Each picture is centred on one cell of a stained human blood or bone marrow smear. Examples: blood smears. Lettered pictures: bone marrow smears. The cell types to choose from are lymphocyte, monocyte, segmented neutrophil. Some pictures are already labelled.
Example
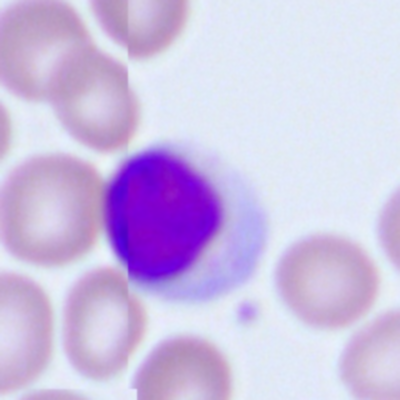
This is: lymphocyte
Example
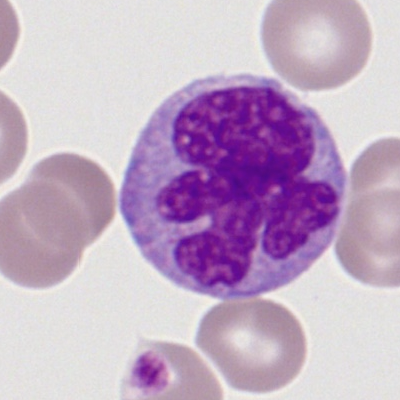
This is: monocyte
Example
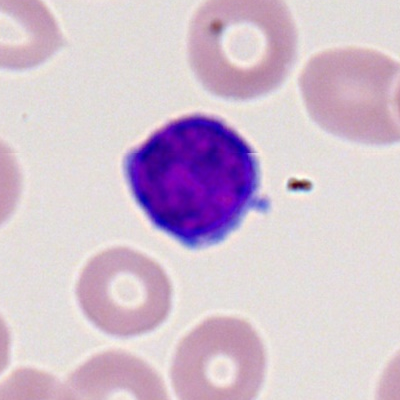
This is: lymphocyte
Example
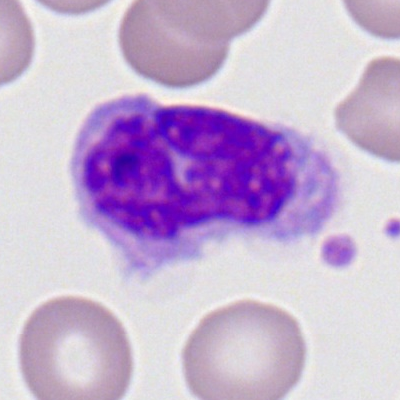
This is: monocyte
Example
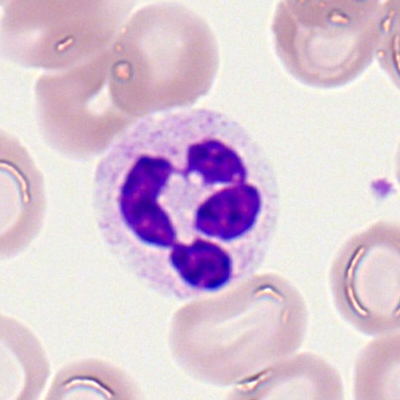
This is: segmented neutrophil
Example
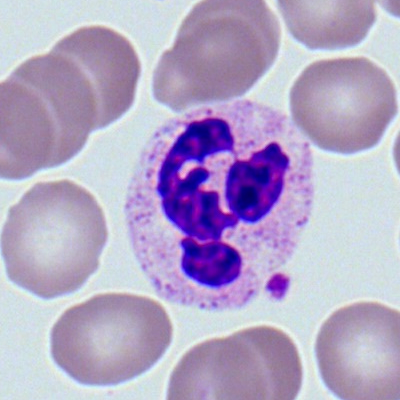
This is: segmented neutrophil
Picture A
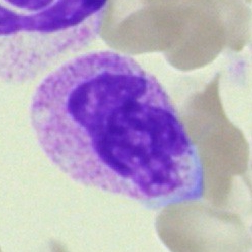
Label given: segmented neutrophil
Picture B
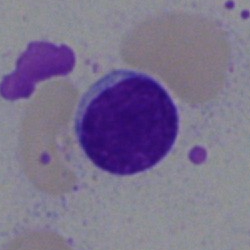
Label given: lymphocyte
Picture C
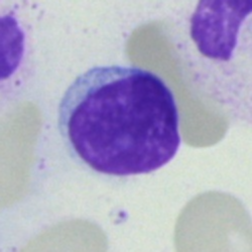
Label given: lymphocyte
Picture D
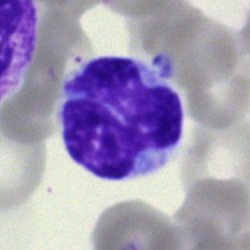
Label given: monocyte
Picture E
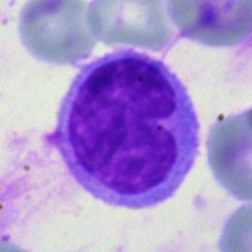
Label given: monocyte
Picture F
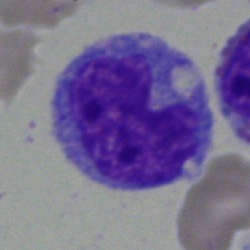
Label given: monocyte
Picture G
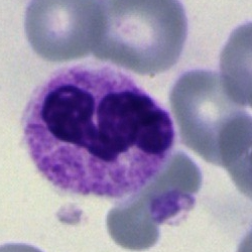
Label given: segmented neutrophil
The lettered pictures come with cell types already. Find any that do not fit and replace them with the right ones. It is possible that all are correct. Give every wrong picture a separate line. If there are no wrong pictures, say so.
No label is wrong.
